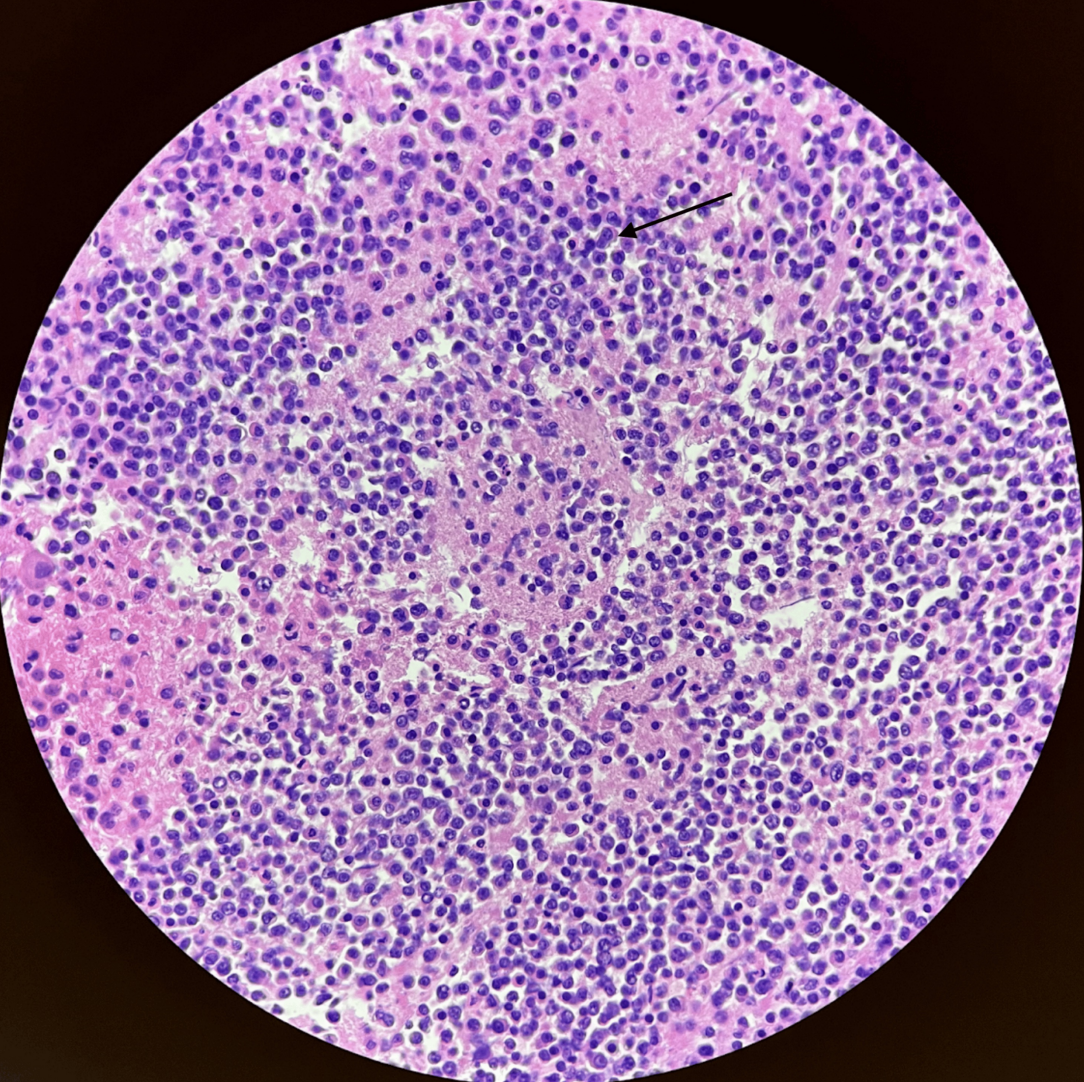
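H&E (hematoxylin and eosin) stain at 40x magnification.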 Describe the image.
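This field is crowded with sheets of plasma cells that fill nearly the whole view with little normal tissue between them. The cells are round to oval, with round, dark purple nuclei that often lie toward one side of the cell, and a modest rim of pink to lilac cytoplasm. Pale pink, amorphous areas are scattered among the cell sheets.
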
